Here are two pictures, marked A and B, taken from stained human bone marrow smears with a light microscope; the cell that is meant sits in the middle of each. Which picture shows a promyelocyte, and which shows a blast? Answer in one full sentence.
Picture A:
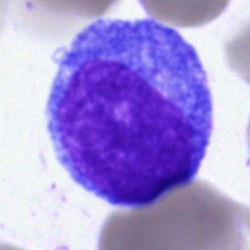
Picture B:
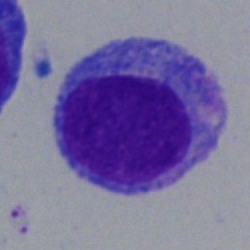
Picture B shows a blast, while picture A shows a promyelocyte.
